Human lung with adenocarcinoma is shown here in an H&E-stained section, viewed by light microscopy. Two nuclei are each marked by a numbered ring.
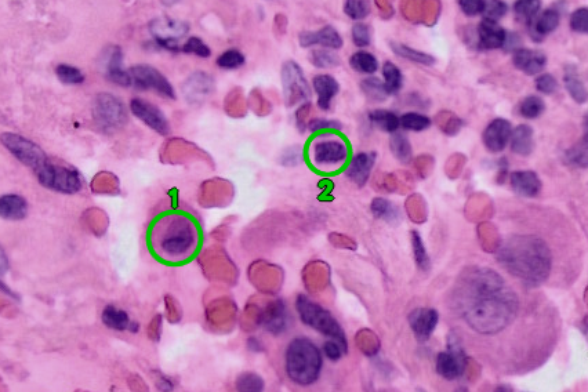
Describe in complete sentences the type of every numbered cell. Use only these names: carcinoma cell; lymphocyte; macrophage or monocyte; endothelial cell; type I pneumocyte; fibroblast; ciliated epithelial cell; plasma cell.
Cell 1 is a macrophage or monocyte. Cell 2 is a lymphocyte.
